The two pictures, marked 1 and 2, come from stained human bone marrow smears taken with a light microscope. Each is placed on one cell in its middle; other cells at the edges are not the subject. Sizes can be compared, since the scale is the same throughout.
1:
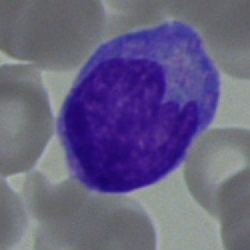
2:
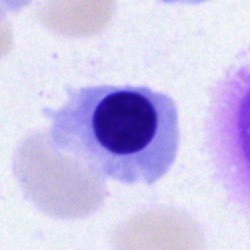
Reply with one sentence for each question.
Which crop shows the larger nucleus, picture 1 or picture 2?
The nucleus in picture 1 is larger, with about 4 times the area of the one in picture 2.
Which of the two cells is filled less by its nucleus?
It is the cell in picture 2 that is filled less by its nucleus.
